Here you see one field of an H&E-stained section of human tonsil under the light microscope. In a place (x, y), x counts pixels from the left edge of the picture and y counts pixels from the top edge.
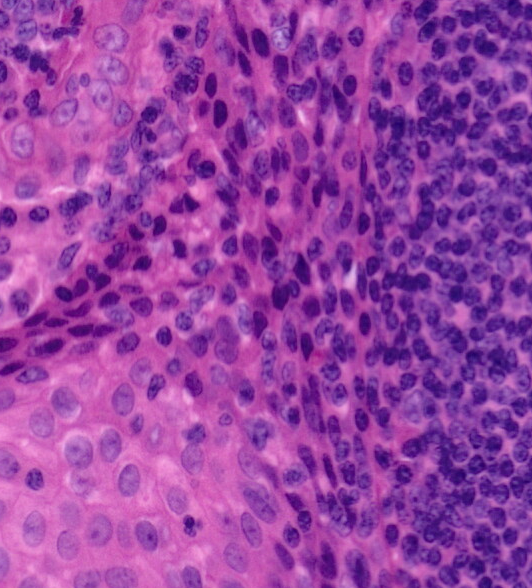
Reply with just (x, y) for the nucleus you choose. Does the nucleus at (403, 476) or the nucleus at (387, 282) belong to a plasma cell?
(403, 476)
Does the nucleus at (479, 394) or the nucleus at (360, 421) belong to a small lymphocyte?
(479, 394)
